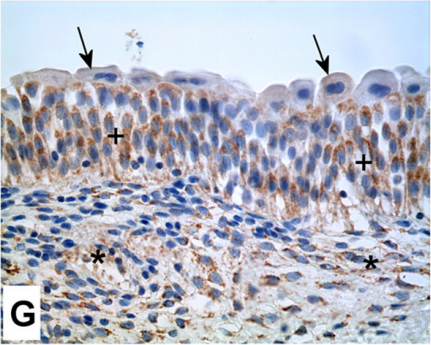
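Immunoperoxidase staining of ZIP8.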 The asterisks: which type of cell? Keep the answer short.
stromal cells in lamina propria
